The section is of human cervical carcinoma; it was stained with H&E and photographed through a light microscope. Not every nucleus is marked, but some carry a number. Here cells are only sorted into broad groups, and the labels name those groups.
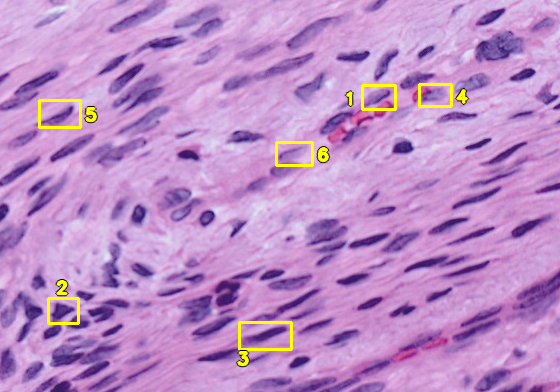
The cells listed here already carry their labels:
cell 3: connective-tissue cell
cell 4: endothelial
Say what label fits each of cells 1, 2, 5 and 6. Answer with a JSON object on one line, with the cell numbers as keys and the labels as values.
{"1": "endothelial", "2": "connective-tissue cell", "5": "connective-tissue cell", "6": "endothelial"}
